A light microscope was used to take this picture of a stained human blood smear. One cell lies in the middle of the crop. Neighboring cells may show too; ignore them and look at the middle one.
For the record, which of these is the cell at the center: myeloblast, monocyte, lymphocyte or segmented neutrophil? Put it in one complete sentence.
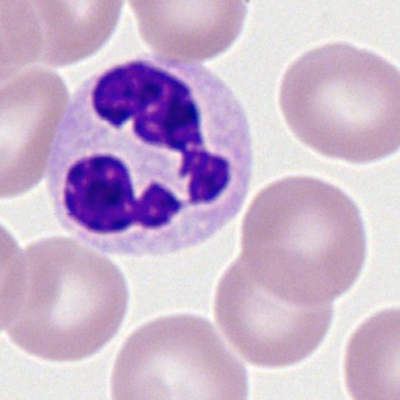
On this slide crop, the central cell is a segmented neutrophil.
